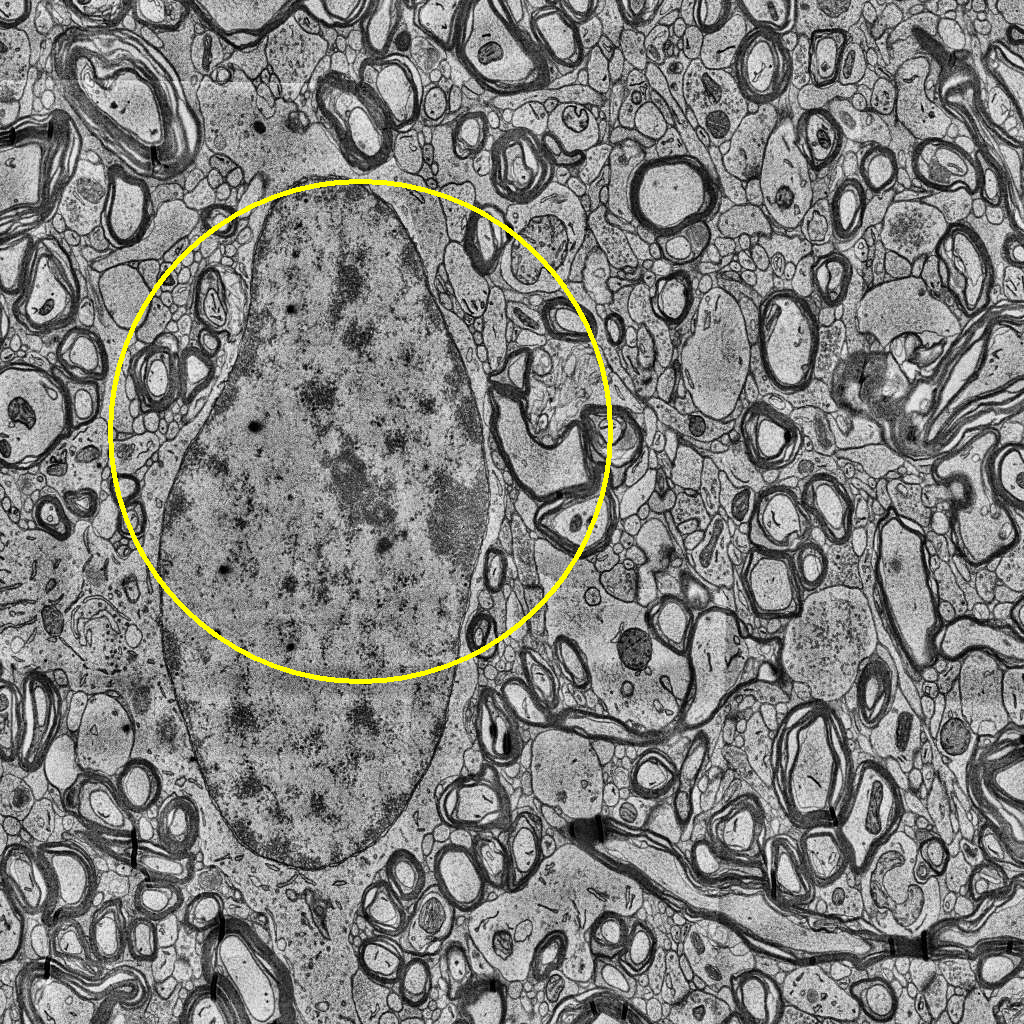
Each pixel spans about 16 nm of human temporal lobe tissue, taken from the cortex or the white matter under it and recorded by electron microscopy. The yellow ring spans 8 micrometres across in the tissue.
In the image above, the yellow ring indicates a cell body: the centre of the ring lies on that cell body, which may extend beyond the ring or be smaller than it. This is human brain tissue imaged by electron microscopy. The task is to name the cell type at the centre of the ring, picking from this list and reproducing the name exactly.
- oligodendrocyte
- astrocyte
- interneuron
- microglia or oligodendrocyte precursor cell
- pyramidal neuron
microglia or oligodendrocyte precursor cell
